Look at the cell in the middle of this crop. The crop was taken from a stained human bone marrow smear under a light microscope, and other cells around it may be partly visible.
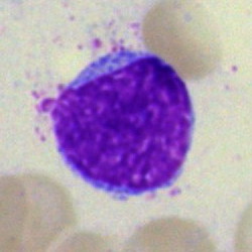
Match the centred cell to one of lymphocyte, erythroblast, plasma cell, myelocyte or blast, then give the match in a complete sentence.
The cell in the middle of this crop is a blast.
